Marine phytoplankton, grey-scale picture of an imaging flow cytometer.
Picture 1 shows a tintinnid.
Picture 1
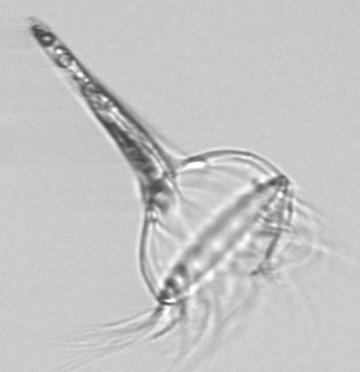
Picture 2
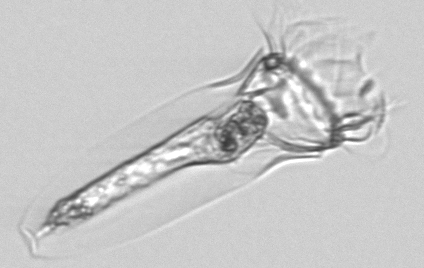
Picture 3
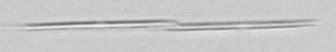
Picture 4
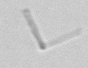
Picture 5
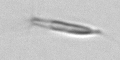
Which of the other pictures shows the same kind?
Picture 2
